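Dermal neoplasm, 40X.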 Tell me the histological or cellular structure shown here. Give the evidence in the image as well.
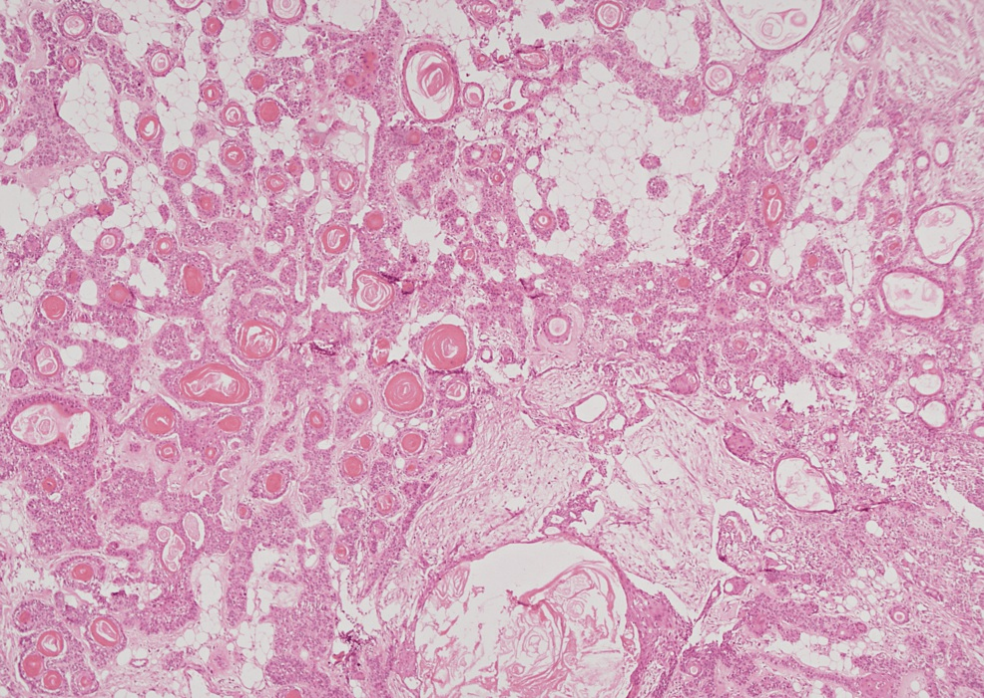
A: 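Keratinous cysts. Many round spaces are filled with pink, concentrically layered material. The round spaces are rimmed by a thin layer of epithelial cells. A large cyst at the lower centre holds pale, flaky laminated material.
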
